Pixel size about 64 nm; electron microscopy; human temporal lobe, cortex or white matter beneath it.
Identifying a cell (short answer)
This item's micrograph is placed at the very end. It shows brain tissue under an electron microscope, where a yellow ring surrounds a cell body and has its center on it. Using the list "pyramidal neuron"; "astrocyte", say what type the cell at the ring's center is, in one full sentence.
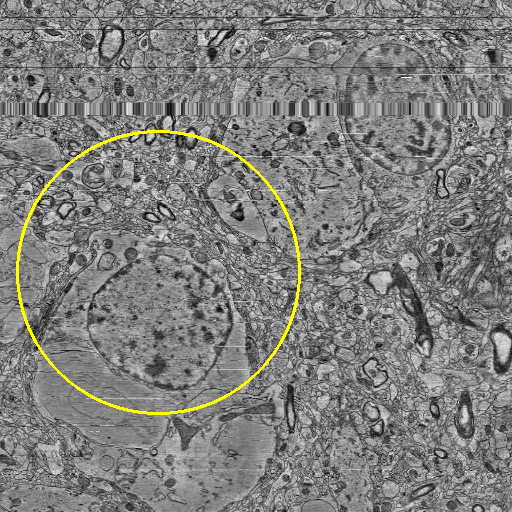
This picture shows an astrocyte at the center of the yellow ring drawn on it.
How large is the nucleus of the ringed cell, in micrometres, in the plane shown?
The nucleus of the ringed cell is approximately 9 micrometres across in this plane.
